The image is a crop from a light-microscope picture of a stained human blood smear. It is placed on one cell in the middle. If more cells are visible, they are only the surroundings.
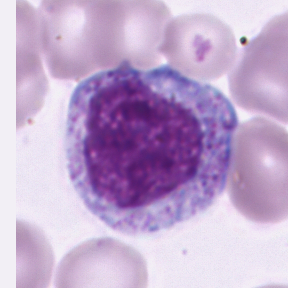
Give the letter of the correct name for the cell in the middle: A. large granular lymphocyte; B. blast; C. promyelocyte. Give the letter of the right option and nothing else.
C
